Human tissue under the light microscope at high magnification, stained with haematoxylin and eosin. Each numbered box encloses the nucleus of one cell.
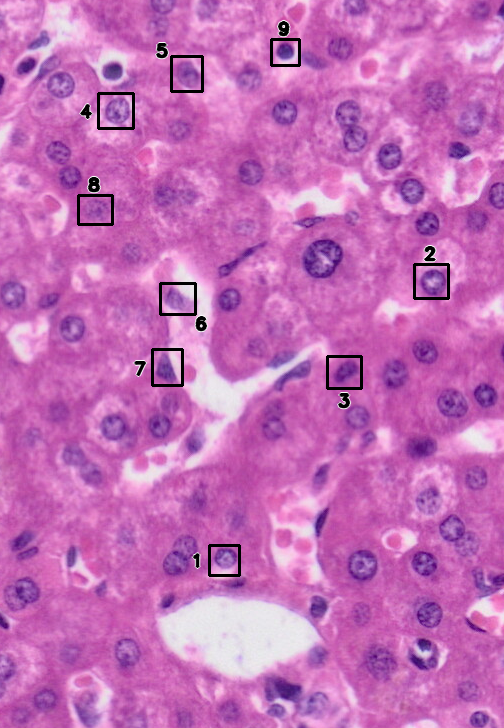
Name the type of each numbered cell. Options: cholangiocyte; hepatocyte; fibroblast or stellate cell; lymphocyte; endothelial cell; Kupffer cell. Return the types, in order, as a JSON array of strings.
["cholangiocyte", "hepatocyte", "fibroblast or stellate cell", "hepatocyte", "Kupffer cell", "Kupffer cell", "fibroblast or stellate cell", "hepatocyte", "lymphocyte"]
